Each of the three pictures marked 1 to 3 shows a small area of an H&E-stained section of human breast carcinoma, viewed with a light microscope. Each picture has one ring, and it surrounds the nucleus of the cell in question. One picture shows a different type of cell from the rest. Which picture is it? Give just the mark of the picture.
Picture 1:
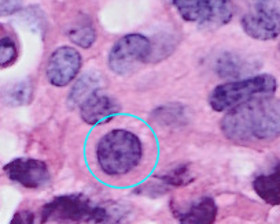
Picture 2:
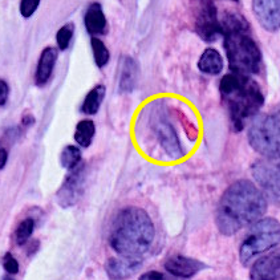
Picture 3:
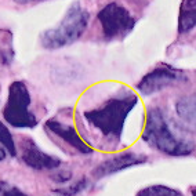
2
